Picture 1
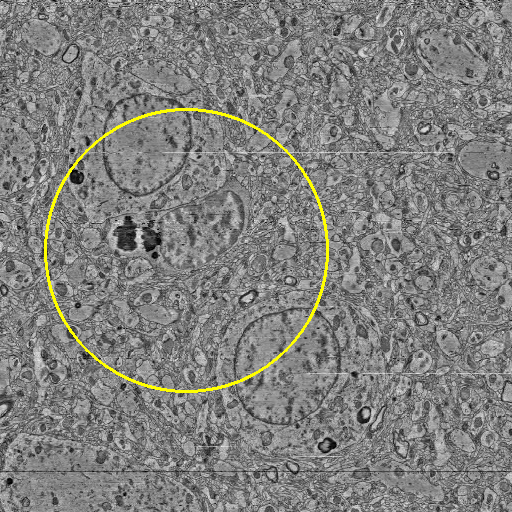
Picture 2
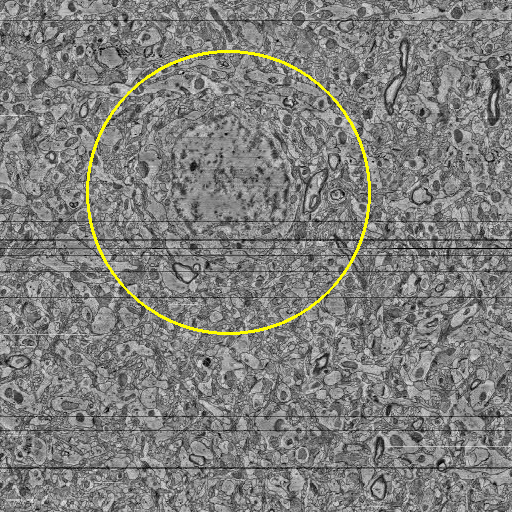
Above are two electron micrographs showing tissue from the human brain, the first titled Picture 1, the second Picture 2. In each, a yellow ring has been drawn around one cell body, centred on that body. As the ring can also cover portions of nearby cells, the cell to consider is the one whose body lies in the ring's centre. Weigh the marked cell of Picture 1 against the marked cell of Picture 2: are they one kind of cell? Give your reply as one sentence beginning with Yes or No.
No, the two cells sitting at the ring centres in the pictures are of two kinds.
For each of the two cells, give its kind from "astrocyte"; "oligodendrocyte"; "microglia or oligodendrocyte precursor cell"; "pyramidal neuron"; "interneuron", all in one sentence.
The first picture has an oligodendrocyte in its ring, the second has an interneuron.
